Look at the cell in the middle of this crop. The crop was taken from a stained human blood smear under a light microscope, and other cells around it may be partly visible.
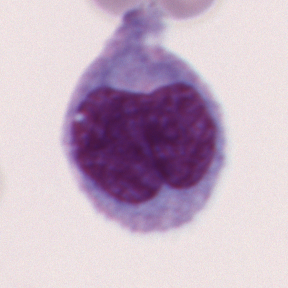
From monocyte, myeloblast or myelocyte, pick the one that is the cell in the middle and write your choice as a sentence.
In the middle of this smear crop is a monocyte.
